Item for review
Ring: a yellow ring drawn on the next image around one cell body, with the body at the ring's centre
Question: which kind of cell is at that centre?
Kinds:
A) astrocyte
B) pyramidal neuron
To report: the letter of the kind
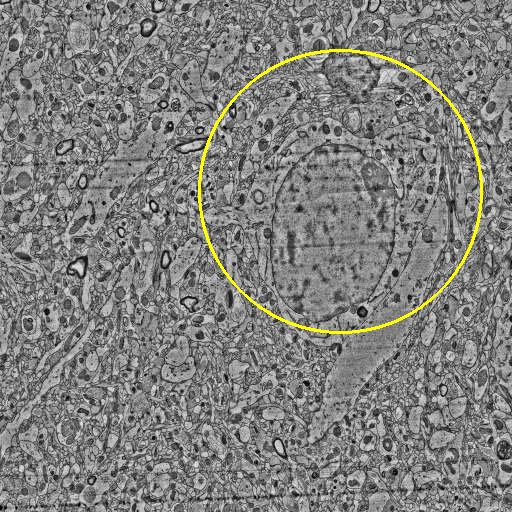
B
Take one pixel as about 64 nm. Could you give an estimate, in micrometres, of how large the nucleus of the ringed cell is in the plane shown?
In this plane, the nucleus is roughly 11 by 8 micrometres.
